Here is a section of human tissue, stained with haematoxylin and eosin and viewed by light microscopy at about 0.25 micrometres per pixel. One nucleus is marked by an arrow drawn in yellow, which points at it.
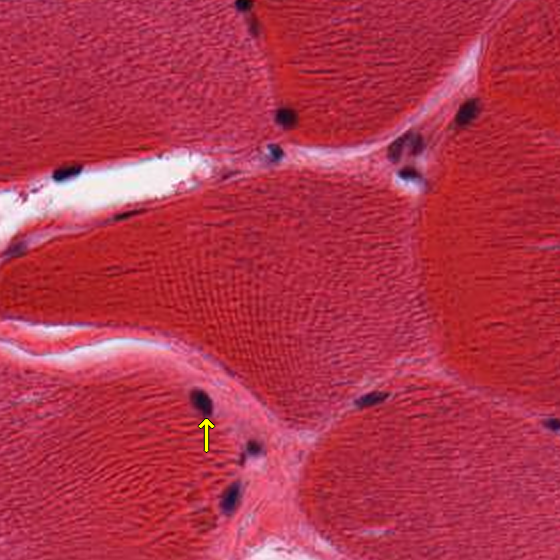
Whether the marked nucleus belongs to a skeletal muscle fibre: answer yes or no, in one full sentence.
Yes, the owner of the marked nucleus is a skeletal muscle fibre.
